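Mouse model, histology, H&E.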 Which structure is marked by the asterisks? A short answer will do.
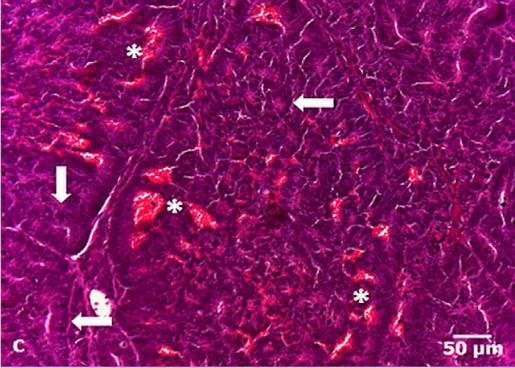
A: irregular vessels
